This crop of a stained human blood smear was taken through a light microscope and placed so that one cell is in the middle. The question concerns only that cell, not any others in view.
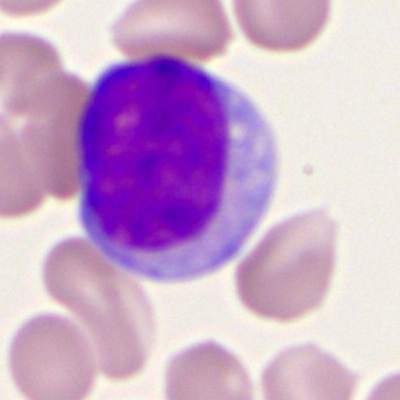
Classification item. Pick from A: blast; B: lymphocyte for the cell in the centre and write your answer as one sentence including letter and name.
The cell centred in the crop is a blast, and the correct option is thus A.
